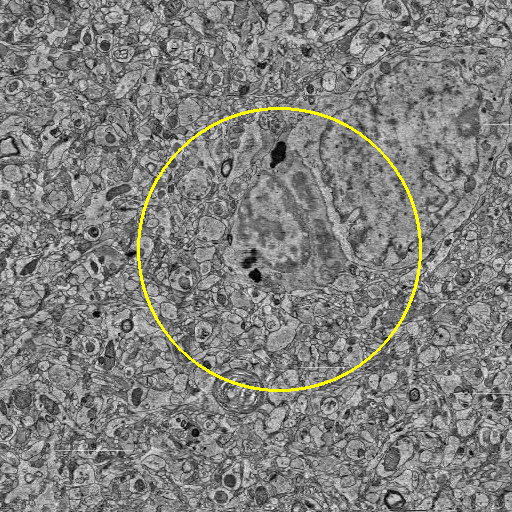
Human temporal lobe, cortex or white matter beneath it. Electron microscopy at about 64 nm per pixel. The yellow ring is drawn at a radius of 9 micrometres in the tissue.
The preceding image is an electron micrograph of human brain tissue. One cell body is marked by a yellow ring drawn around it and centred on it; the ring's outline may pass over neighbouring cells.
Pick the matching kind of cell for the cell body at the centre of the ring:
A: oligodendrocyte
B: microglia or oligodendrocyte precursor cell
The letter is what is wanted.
A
